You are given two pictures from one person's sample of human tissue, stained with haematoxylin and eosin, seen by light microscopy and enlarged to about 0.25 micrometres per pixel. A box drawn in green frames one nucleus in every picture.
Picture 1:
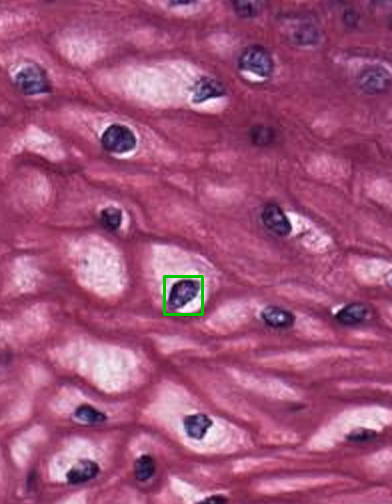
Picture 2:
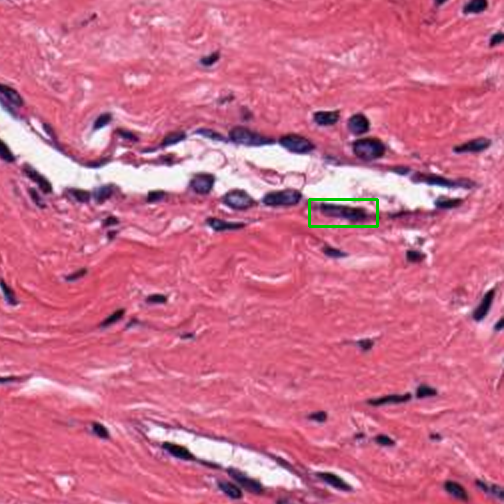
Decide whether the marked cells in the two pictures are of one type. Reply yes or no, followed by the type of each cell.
No, the first is a squamous epithelial cell and the second an endothelial cell.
